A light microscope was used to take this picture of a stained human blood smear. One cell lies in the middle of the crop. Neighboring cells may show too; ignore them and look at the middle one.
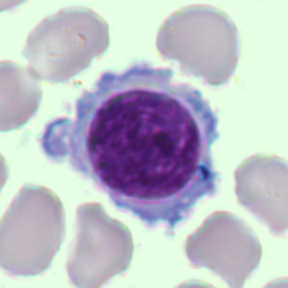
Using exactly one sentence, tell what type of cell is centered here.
The cell marked by its central position in the crop is a plasma cell.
